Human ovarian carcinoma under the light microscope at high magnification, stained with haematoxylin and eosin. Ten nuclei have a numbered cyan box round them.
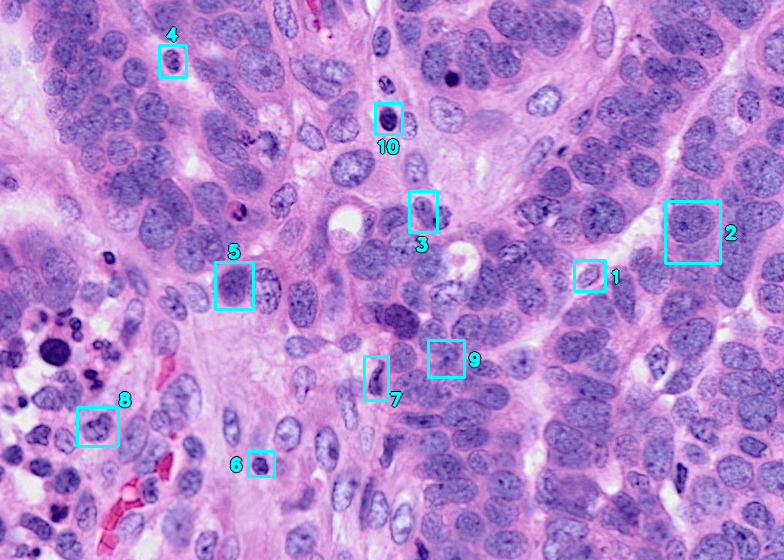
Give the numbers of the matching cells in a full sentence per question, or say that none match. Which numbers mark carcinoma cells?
The numbers 2, 5 and 9 refer to cells that are carcinoma cells.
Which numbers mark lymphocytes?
In this section, the cells numbered 4, 6 and 10 are lymphocytes.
